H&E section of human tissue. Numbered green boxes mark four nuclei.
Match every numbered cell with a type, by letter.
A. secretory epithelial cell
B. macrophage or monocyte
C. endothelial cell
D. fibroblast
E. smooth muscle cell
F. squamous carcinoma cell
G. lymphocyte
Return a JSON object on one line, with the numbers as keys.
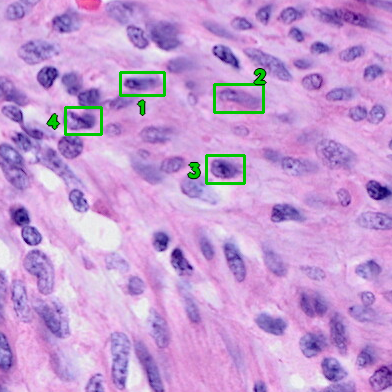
{"1": "G", "2": "E", "3": "G", "4": "G"}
